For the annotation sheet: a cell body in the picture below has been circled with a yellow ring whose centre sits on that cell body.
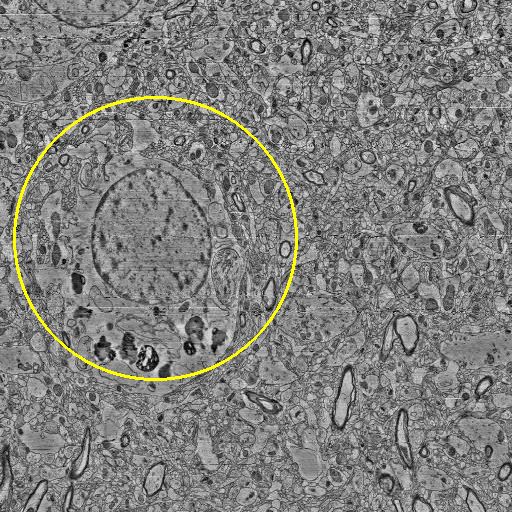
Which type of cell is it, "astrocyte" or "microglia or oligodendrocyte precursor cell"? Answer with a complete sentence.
The circled cell is an astrocyte.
